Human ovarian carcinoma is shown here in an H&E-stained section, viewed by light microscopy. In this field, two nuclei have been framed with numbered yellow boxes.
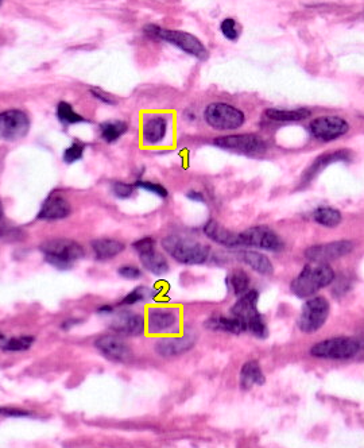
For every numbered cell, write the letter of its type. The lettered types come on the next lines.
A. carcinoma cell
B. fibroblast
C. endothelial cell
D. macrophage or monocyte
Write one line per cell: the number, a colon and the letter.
1: D
2: A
